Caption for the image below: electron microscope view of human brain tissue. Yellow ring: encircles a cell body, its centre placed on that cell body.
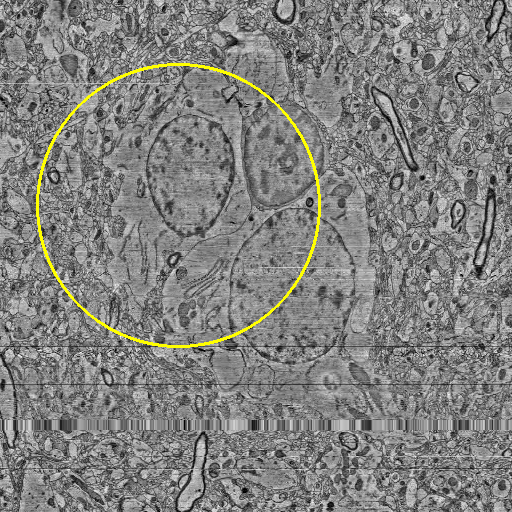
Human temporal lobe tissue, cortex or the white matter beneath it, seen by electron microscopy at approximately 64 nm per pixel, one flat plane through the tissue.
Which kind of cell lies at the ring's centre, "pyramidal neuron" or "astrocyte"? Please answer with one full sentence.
The picture shows an astrocyte at the centre of the yellow ring.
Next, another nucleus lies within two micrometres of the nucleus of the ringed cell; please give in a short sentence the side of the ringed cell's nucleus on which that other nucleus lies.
The other nucleus is located to the right of it.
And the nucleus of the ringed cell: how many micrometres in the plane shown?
The nucleus comes to roughly 8 by 6 micrometres in this plane.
